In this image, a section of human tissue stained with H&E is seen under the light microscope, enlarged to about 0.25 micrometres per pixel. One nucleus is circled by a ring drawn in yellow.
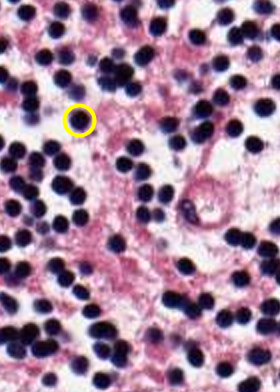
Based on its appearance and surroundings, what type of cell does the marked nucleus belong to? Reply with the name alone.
cerebellar granule cell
